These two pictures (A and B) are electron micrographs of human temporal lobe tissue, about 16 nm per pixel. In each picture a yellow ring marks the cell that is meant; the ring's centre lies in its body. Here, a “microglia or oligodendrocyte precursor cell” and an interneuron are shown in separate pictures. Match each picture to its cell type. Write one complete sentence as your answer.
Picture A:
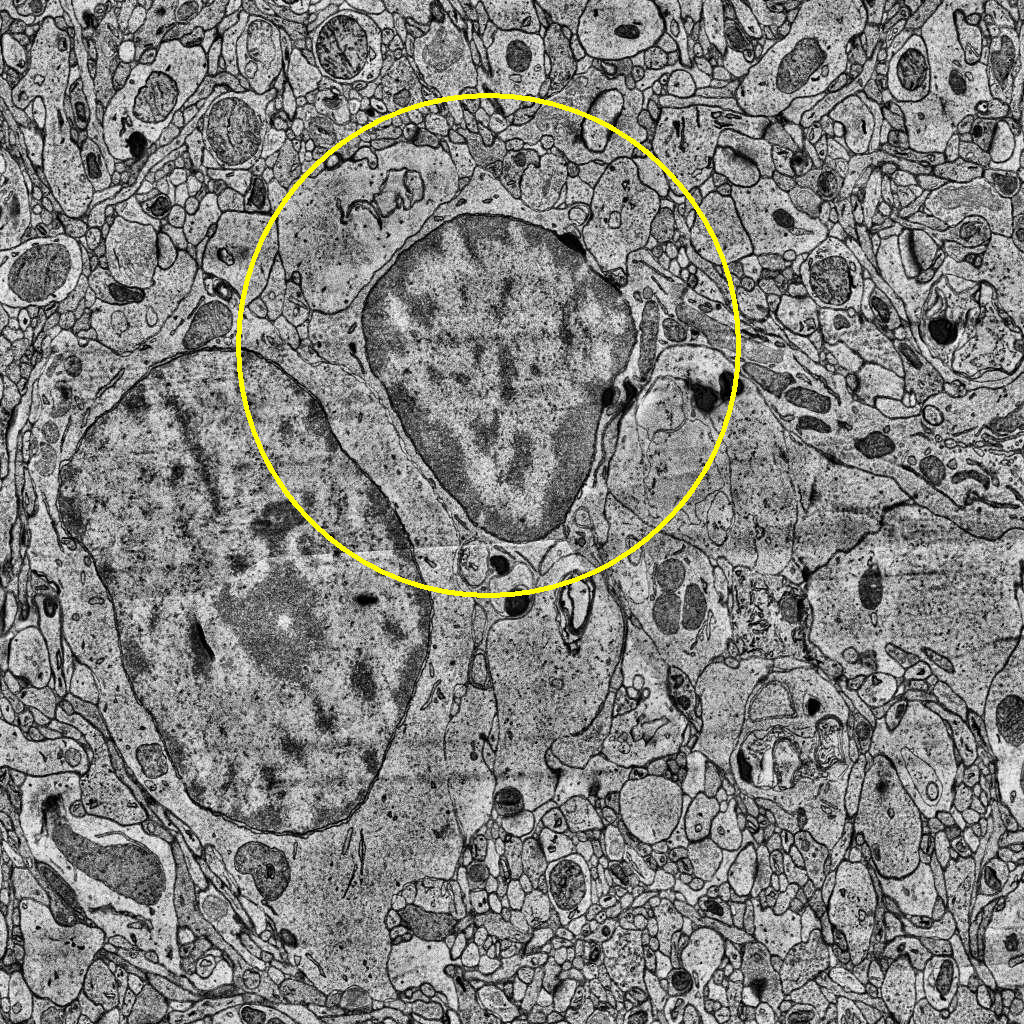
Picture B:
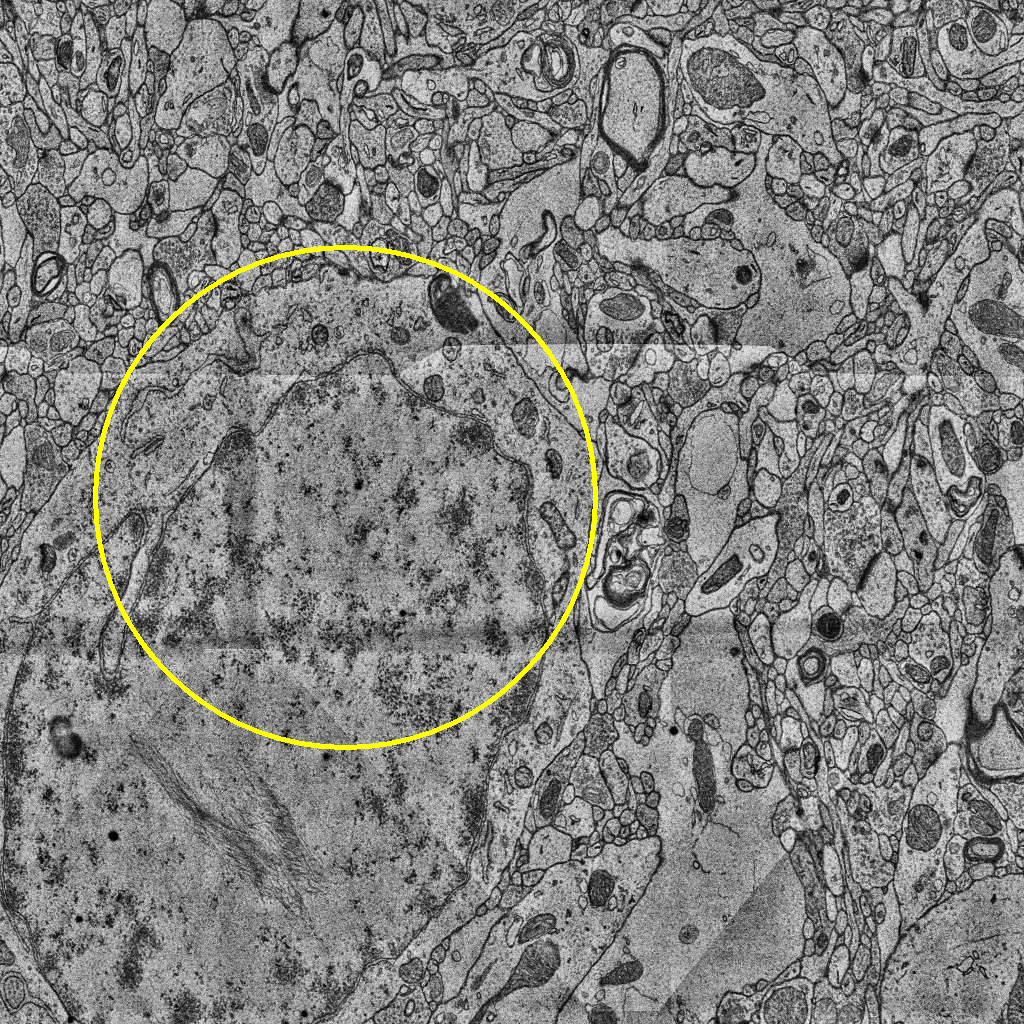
Picture A shows a “microglia or oligodendrocyte precursor cell” and picture B shows an interneuron.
